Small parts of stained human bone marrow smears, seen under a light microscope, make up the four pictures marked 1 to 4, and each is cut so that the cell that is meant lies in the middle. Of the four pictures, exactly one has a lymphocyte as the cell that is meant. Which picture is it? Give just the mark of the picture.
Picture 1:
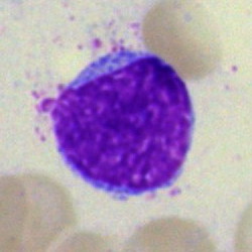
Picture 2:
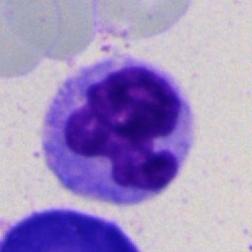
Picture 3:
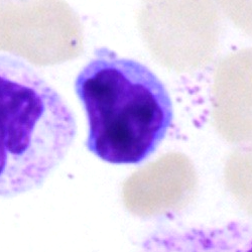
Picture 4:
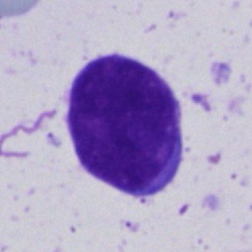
3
